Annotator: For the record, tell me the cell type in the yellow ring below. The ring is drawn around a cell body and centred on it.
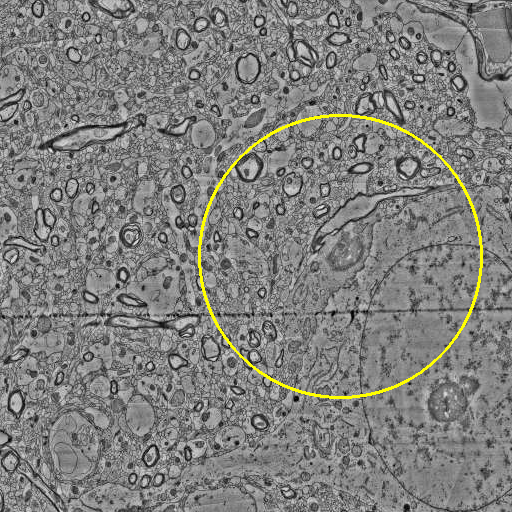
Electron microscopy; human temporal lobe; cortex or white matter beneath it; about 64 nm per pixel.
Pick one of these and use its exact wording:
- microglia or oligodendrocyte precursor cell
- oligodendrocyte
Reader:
oligodendrocyte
